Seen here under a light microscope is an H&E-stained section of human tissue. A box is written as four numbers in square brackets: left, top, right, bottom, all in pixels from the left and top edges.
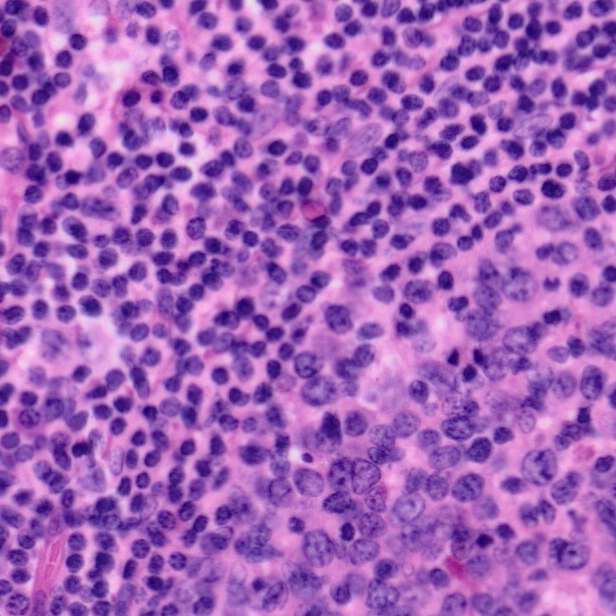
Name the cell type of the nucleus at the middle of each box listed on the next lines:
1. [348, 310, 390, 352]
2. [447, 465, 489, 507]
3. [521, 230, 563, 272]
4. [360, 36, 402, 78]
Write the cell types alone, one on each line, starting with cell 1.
proliferating B cell
proliferating B cell
proliferating B cell
small lymphocyte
